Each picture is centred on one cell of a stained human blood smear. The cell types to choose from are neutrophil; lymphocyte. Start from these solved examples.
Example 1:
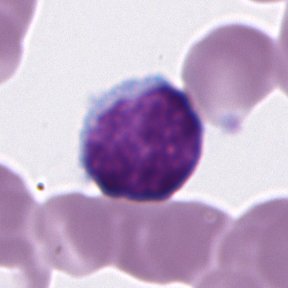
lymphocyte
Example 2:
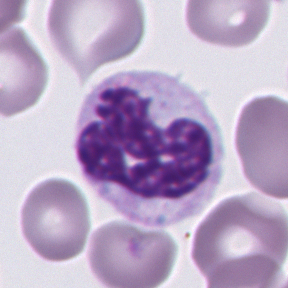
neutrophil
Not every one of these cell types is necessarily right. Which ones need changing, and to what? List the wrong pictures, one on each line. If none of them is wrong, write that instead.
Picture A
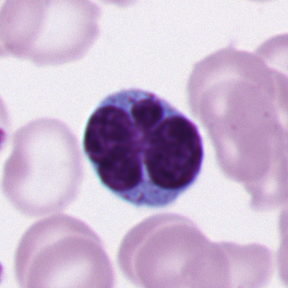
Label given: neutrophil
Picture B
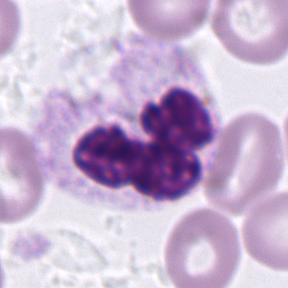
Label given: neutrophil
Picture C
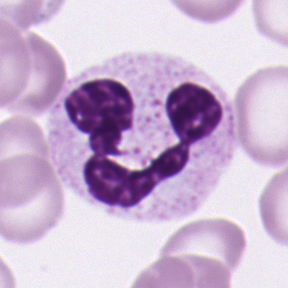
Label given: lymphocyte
A: not neutrophil but lymphocyte
C: not lymphocyte but neutrophil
